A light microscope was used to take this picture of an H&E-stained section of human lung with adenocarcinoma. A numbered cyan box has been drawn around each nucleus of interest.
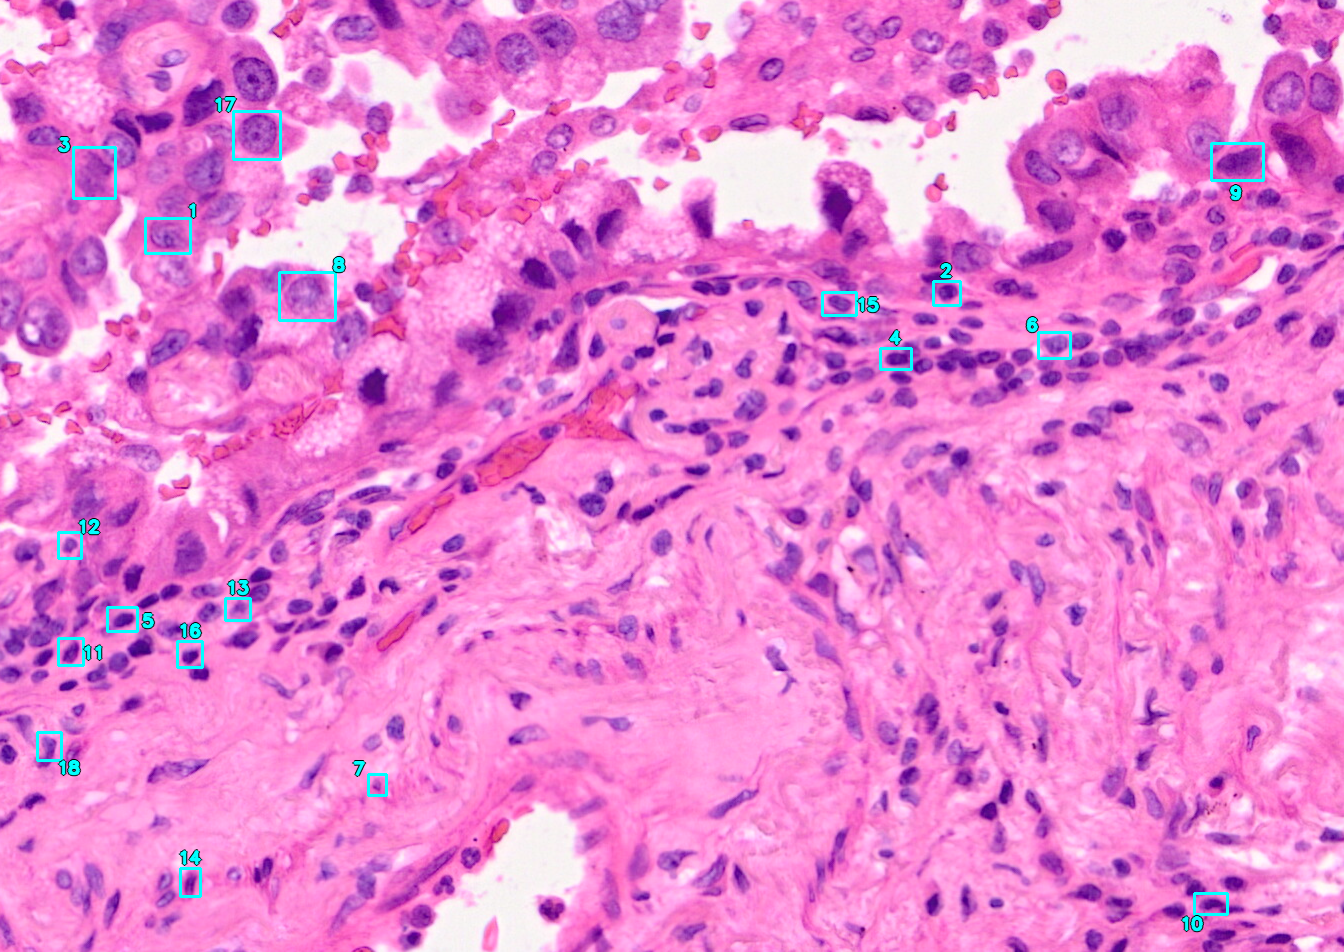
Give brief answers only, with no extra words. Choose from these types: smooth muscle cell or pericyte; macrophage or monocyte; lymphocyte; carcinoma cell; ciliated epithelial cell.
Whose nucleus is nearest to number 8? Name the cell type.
carcinoma cell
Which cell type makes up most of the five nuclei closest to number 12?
macrophage or monocyte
